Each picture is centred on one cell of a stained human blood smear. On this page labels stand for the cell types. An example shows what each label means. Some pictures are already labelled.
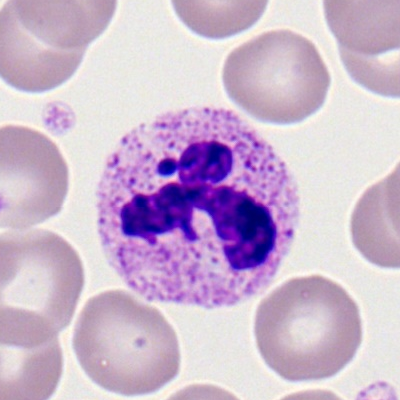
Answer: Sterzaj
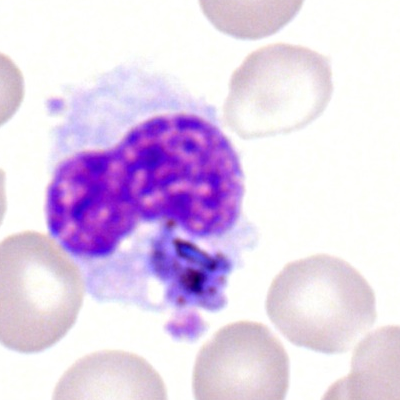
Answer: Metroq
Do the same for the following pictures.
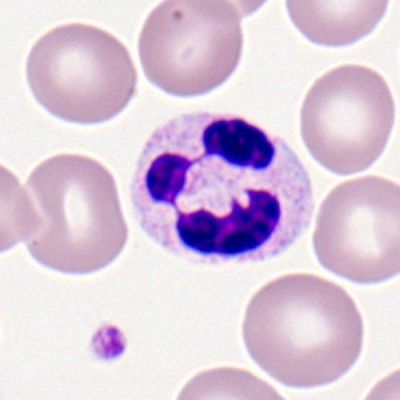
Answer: Sterzaj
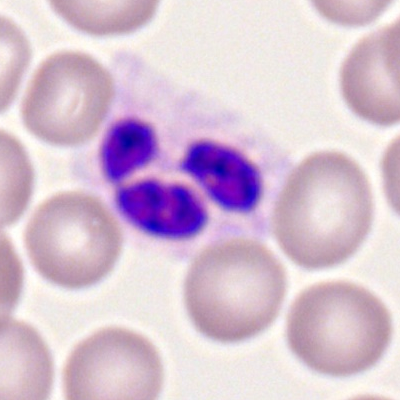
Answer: Sterzaj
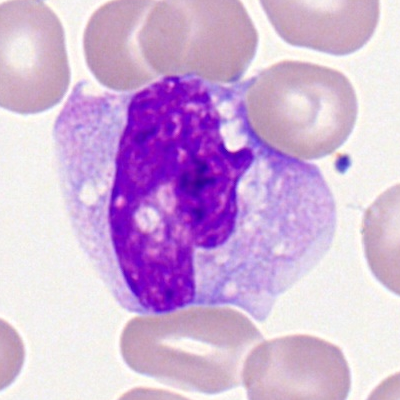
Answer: Metroq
